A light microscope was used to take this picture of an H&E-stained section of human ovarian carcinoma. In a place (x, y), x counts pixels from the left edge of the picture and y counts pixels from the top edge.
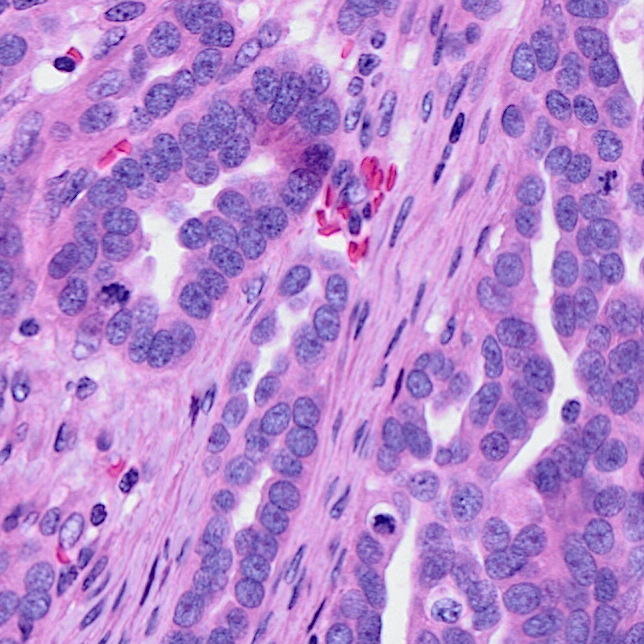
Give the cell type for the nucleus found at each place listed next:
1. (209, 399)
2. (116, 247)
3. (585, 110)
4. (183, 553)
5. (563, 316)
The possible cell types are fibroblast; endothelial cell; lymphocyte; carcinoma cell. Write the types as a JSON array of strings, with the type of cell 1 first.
["fibroblast", "carcinoma cell", "carcinoma cell", "fibroblast", "carcinoma cell"]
